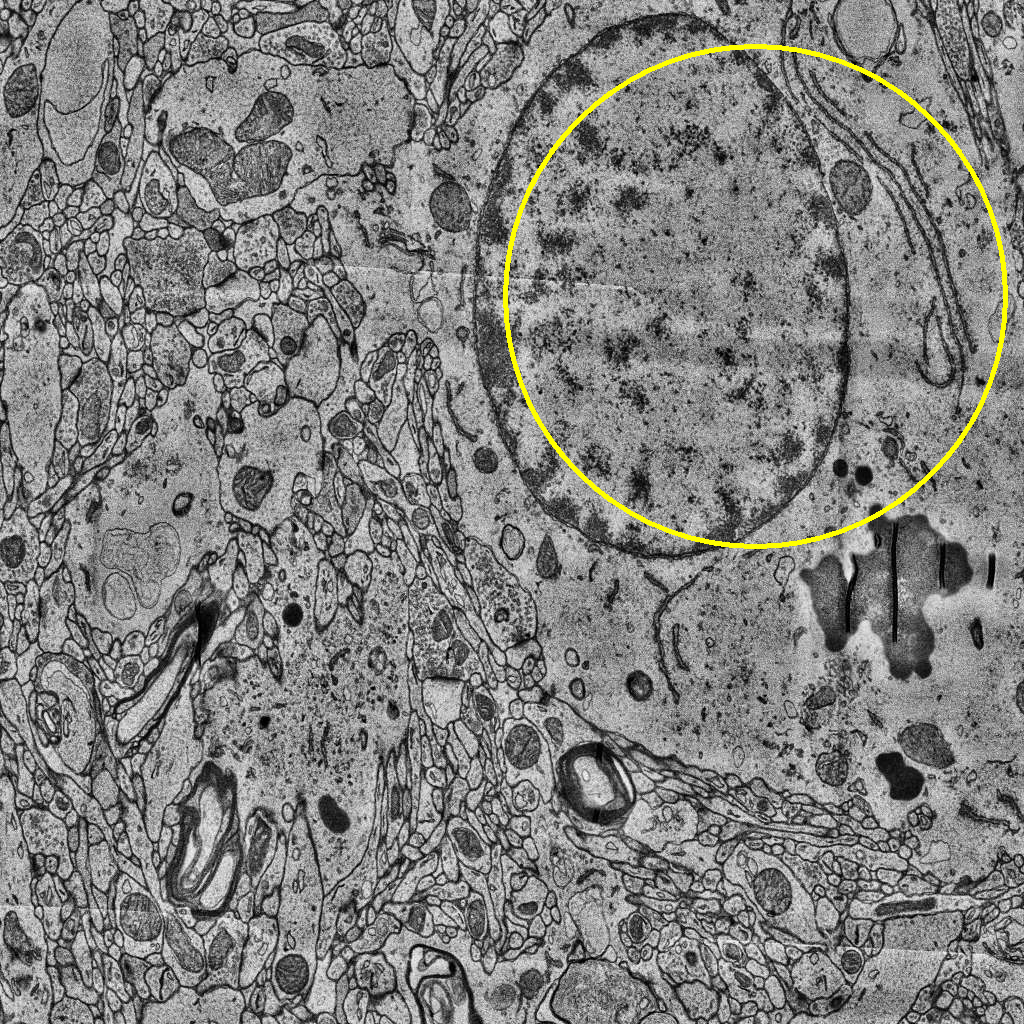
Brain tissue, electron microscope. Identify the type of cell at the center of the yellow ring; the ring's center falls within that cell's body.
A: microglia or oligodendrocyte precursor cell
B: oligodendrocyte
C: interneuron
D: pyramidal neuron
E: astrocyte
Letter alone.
E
